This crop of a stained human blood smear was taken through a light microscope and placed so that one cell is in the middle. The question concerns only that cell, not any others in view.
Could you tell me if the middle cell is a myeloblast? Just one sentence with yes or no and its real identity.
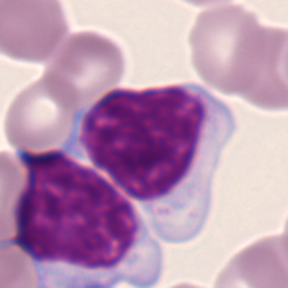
No, the cell in the middle is recognised as a large granular lymphocyte rather than a myeloblast.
